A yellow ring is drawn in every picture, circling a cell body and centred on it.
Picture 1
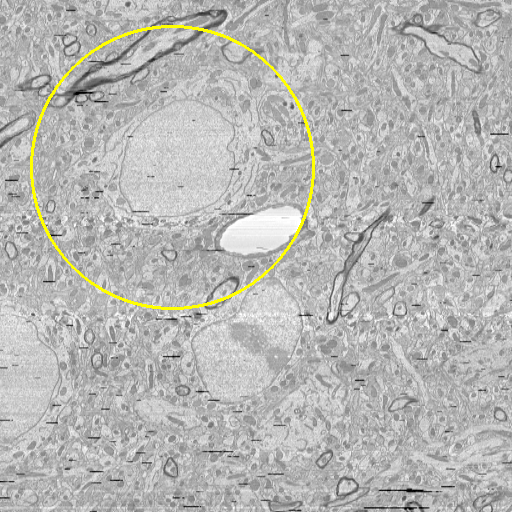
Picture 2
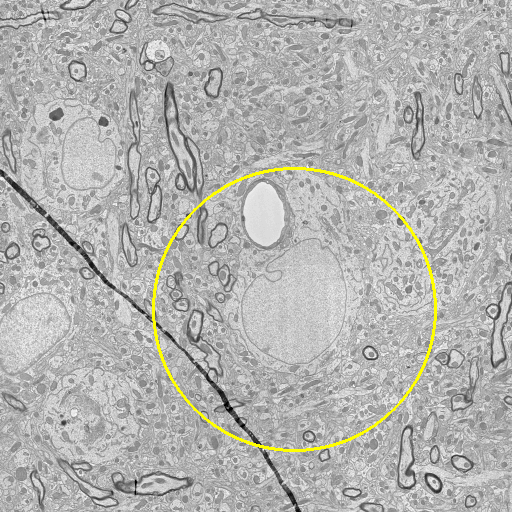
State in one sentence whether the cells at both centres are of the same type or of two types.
The cells at the two ring centres, one per picture, are of the same type.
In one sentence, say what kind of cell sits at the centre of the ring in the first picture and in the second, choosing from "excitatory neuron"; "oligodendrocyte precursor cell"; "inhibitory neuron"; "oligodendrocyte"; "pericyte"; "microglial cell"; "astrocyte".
Both pictures show an excitatory neuron at the centre of the ring.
